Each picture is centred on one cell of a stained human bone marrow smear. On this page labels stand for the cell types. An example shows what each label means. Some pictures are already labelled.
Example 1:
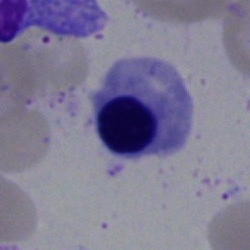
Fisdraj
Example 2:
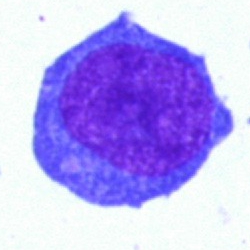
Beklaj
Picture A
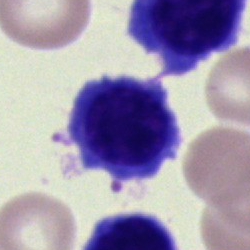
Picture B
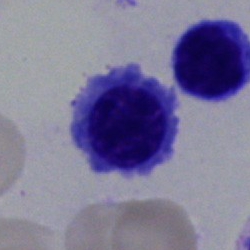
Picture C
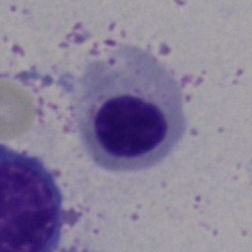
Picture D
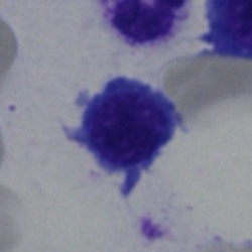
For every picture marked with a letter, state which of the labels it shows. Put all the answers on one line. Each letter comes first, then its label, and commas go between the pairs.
A Fisdraj, B Fisdraj, C Fisdraj, D Fisdraj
